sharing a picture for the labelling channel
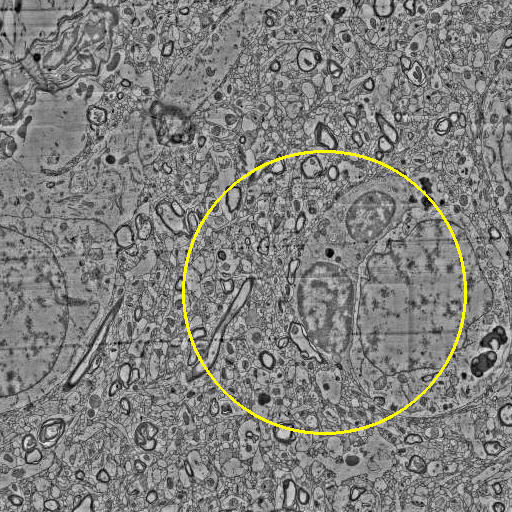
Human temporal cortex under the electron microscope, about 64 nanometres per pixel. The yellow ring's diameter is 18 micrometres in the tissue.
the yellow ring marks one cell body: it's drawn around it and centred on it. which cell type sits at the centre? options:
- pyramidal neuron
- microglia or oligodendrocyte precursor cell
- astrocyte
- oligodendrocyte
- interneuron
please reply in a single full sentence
In the picture, the cell at the ring's centre is an oligodendrocyte, going by the list.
